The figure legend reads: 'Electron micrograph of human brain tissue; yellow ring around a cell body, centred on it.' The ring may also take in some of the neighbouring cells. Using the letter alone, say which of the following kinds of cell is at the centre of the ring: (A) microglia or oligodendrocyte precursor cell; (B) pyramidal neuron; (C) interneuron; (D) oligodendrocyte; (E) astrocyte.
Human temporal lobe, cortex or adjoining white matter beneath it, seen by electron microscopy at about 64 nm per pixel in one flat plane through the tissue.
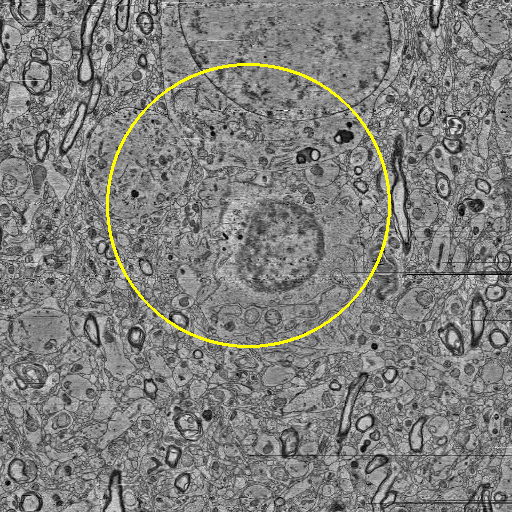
A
